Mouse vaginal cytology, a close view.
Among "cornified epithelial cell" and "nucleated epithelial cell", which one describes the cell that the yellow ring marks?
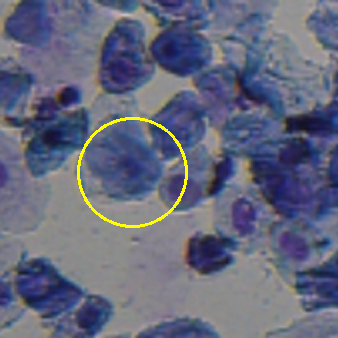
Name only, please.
cornified epithelial cell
